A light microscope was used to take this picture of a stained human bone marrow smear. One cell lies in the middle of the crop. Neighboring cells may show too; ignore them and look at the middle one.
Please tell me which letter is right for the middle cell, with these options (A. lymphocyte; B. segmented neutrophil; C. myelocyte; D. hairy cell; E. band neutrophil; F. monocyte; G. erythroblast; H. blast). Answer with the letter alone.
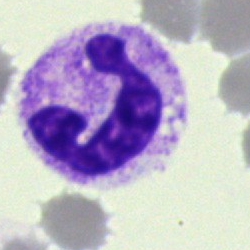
B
